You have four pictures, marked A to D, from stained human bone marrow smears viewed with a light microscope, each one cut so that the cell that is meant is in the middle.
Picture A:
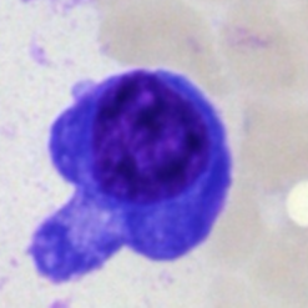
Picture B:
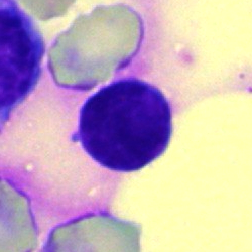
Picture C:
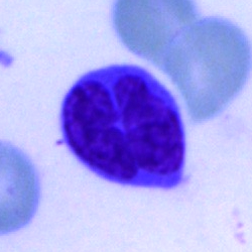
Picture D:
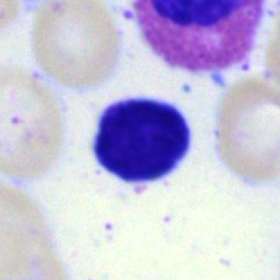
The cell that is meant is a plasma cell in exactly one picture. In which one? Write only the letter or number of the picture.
A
